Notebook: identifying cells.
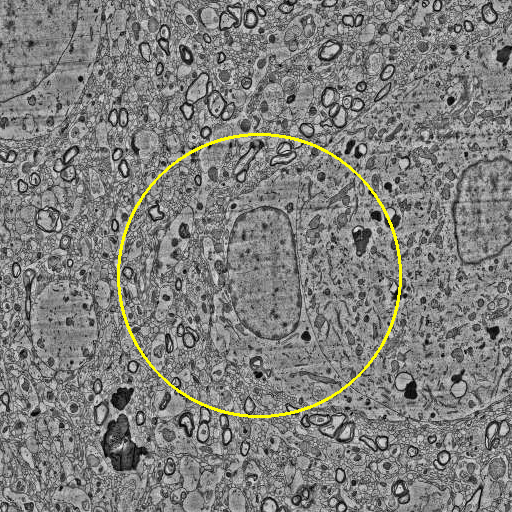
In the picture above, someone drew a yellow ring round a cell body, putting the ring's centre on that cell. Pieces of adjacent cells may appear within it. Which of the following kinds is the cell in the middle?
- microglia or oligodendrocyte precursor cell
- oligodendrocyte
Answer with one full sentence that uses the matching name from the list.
In this picture, the yellow ring is centred on the body of a microglial cell or oligodendrocyte precursor cell.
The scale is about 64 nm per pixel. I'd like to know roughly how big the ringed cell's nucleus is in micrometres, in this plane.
Clearly longer than it is wide in this plane, the nucleus measures roughly 9 by 5 micrometres.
